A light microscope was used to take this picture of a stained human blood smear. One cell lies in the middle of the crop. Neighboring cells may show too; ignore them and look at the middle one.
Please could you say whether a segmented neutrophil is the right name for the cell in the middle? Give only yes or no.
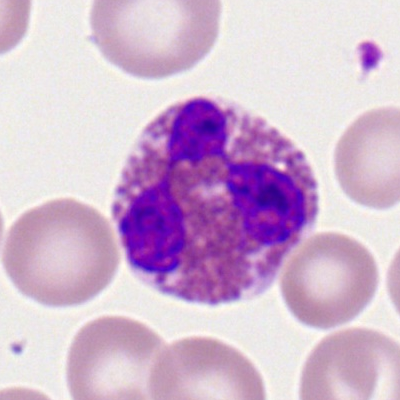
no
